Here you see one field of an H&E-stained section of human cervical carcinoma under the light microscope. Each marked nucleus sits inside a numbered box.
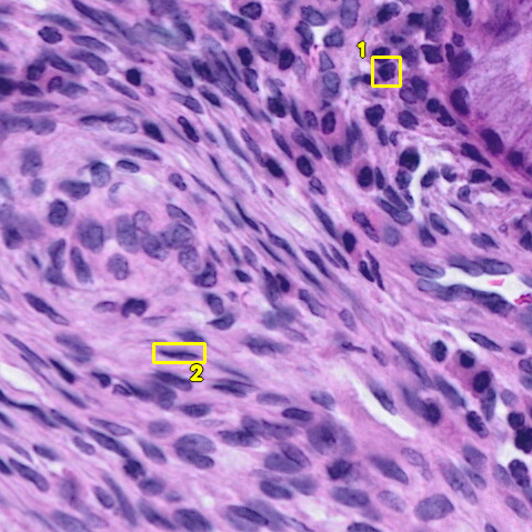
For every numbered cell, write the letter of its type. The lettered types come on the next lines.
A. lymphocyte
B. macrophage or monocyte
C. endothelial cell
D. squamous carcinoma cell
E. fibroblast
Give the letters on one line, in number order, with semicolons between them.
A; E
